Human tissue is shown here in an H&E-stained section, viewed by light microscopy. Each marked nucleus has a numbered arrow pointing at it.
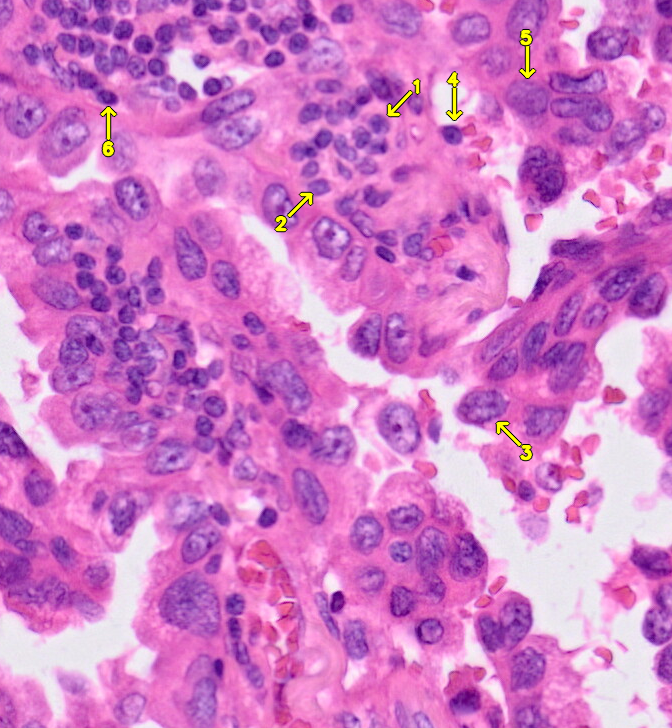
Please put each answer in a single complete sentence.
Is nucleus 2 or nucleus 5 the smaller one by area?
The smaller nucleus is 2, and 5 covers roughly 4 times its area.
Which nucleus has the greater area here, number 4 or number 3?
Of the two, number 3 is bigger and takes up about 4 times the area of number 4.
